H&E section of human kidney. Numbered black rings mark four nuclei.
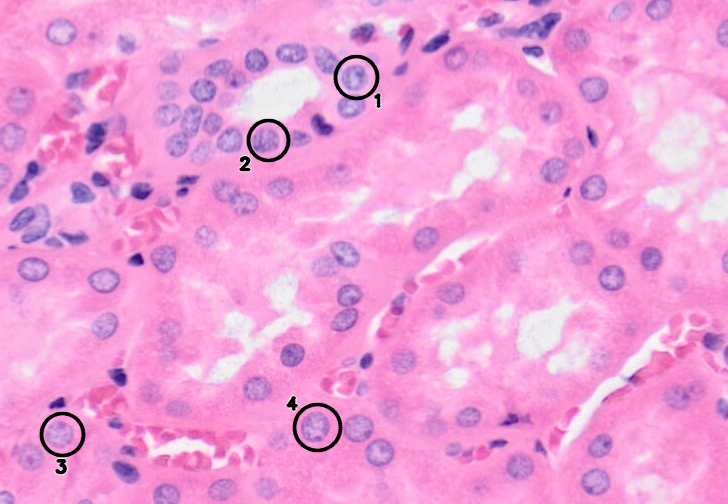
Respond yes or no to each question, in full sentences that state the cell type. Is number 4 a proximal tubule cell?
Yes, the numbered nucleus 4 is that of a proximal tubule cell.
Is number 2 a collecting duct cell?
Yes, the cell with the number 2 is a collecting duct cell.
